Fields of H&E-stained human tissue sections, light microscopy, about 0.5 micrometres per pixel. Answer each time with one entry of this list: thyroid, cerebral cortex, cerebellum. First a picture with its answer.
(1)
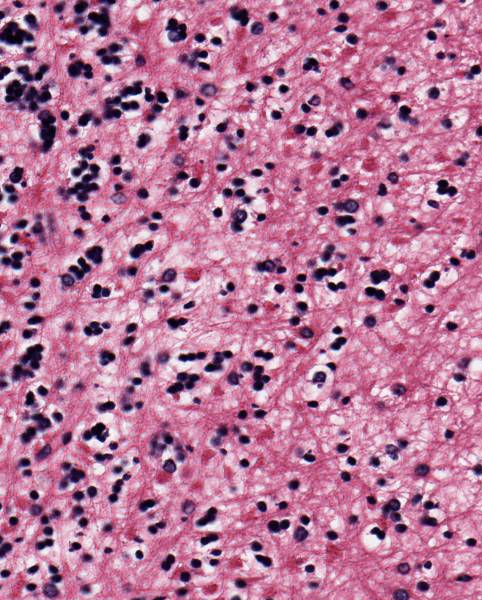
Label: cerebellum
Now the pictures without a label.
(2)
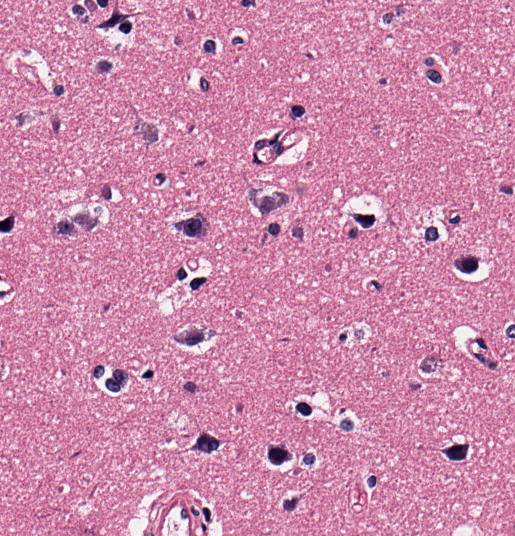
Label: cerebral cortex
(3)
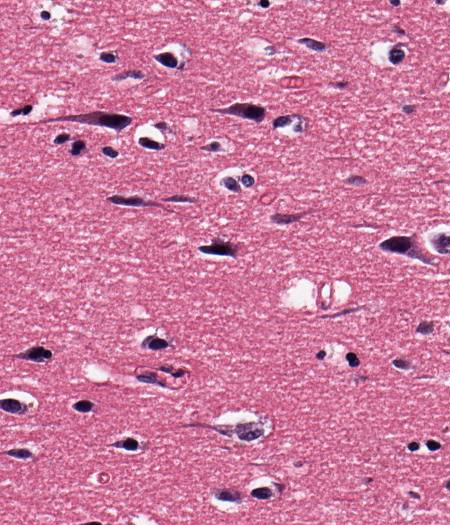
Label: cerebral cortex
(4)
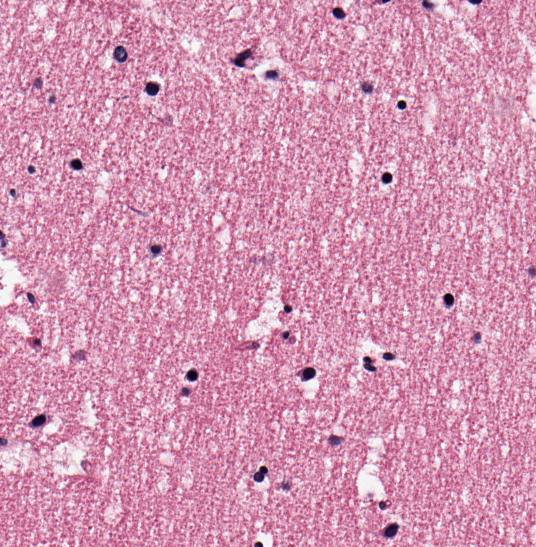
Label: cerebellum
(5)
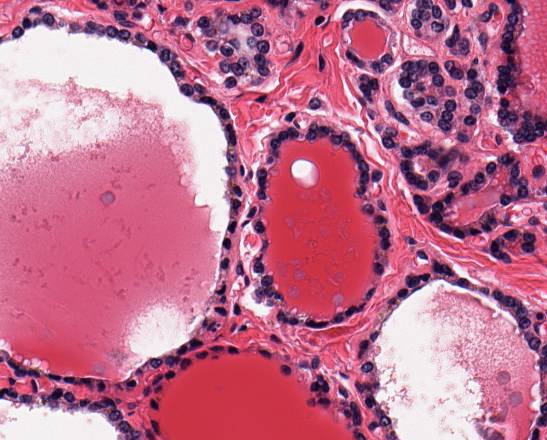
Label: thyroid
